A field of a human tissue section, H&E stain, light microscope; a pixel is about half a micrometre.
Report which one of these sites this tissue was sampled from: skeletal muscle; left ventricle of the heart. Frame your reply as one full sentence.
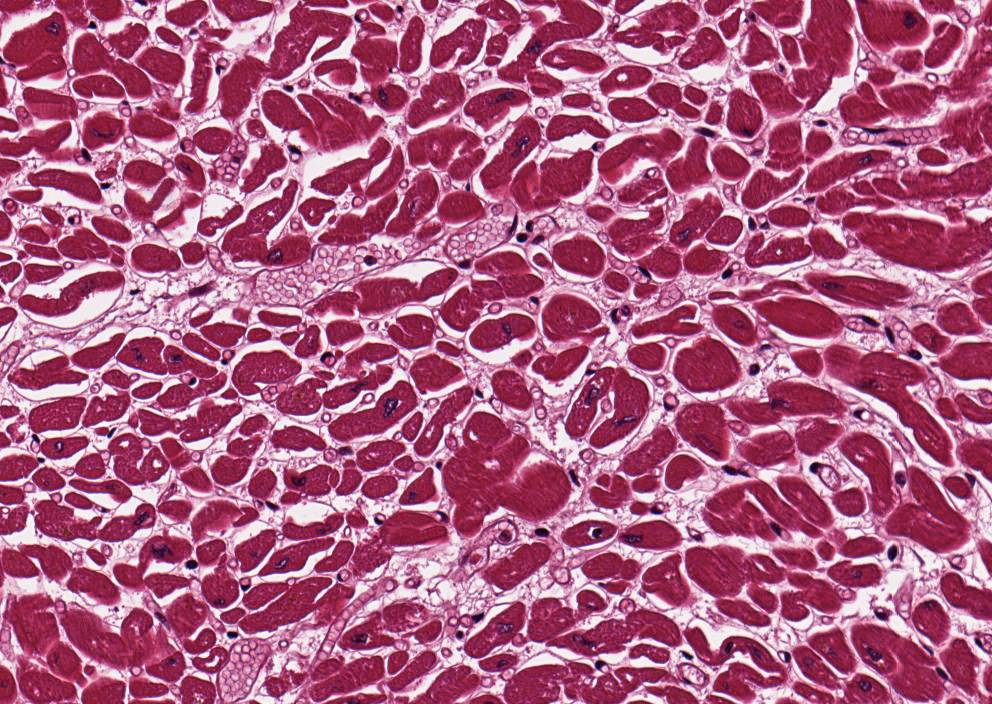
In this section is tissue sampled from the left ventricle of the heart.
